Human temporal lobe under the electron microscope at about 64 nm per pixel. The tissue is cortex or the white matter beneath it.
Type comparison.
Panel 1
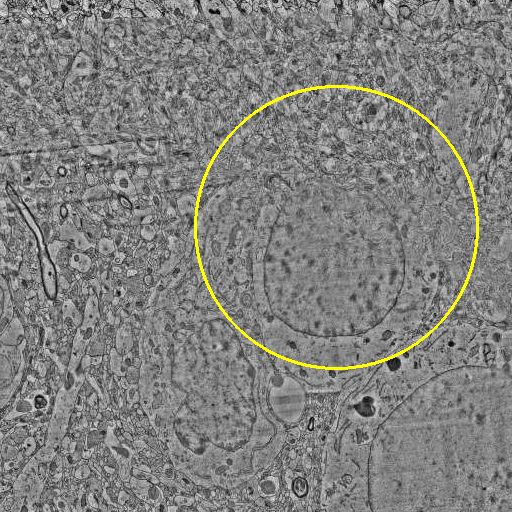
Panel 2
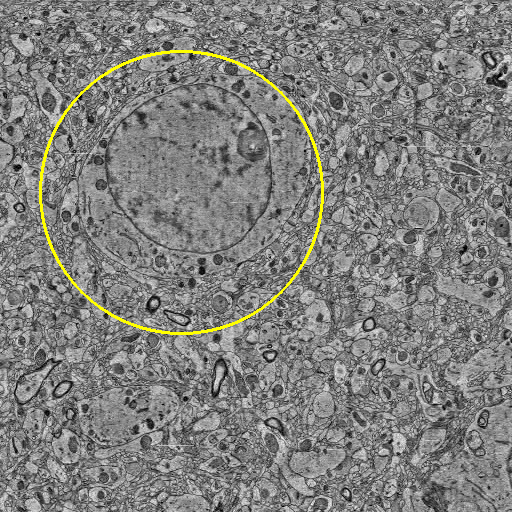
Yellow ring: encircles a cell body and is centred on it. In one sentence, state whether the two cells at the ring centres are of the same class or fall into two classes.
In these panels, the two cells at the ring centres are of the same class.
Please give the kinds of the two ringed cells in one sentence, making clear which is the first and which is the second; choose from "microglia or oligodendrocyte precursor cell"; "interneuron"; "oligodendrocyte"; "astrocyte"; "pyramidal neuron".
Each of the two cells is a pyramidal neuron.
